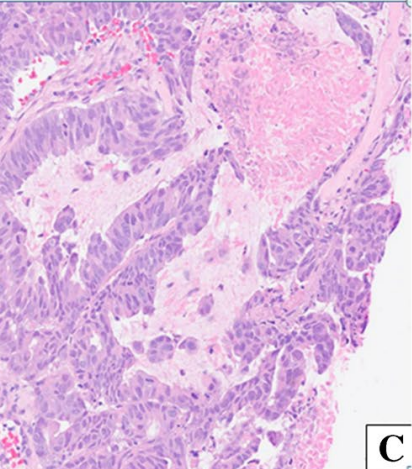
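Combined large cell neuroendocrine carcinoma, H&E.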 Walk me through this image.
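The adenocarcinoma component is made of tall columnar tumour cells with elongated, crowded nuclei that line glands and papillary fronds. Pale wispy mucin fills some gland lumina, and a rounded mass of pink granular necrotic debris lies at the upper right.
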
